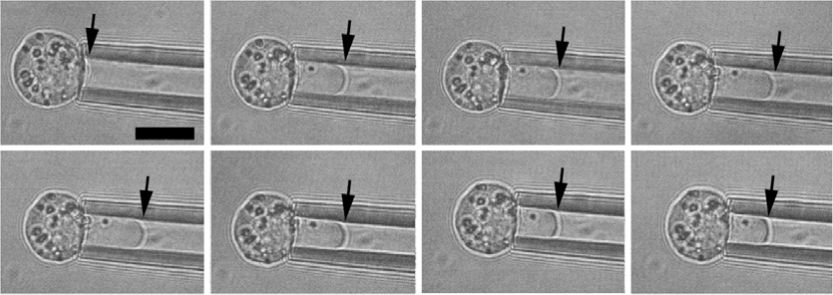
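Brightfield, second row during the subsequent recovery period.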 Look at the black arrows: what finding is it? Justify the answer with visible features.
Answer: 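A rounded cell sits at the mouth of a glass tube. A curved, dome-shaped front of the cell extends inside the tube. Each arrow points at this curved front inside the tube.
Answer: the extent of the aspiration length into the micropipette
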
